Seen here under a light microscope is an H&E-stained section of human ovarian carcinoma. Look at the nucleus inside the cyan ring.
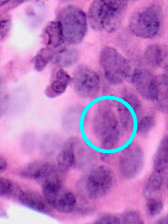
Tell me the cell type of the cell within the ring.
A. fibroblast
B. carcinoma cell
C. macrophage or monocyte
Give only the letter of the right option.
B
